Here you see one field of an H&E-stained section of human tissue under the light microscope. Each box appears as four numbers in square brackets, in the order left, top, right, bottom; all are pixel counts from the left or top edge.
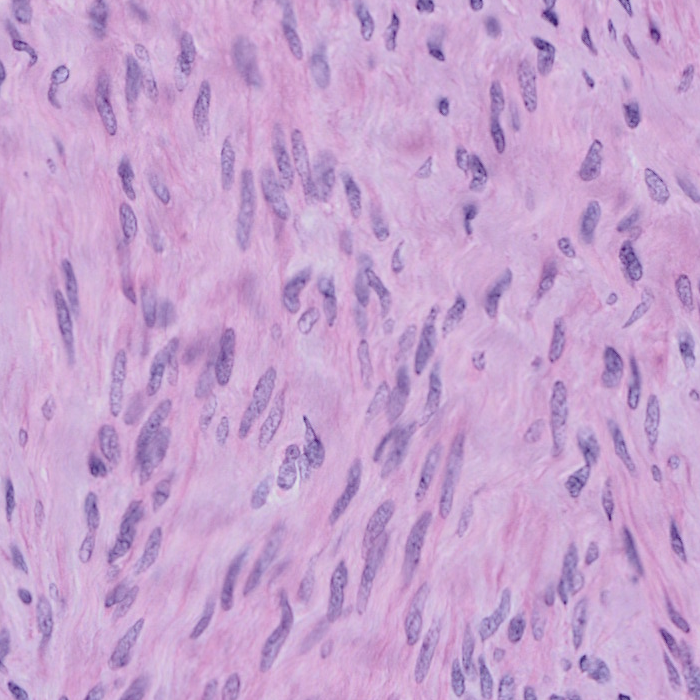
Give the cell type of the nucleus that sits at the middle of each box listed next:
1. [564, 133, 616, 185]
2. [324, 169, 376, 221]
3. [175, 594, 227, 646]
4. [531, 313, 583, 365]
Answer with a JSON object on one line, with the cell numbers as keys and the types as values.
{"1": "fibroblast", "2": "smooth muscle cell", "3": "smooth muscle cell", "4": "smooth muscle cell"}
